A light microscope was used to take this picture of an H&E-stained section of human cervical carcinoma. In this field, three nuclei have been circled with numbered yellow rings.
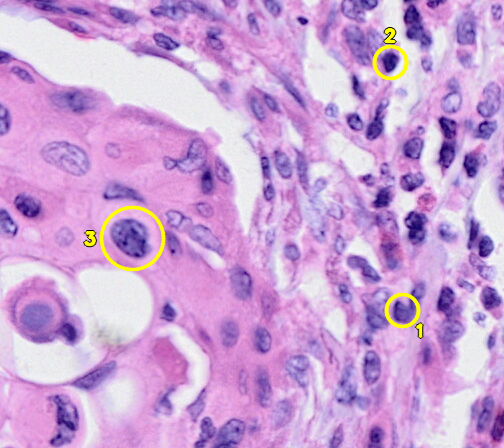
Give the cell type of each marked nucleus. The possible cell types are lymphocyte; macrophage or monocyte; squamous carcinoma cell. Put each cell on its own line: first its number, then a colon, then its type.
1: lymphocyte
2: lymphocyte
3: squamous carcinoma cell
